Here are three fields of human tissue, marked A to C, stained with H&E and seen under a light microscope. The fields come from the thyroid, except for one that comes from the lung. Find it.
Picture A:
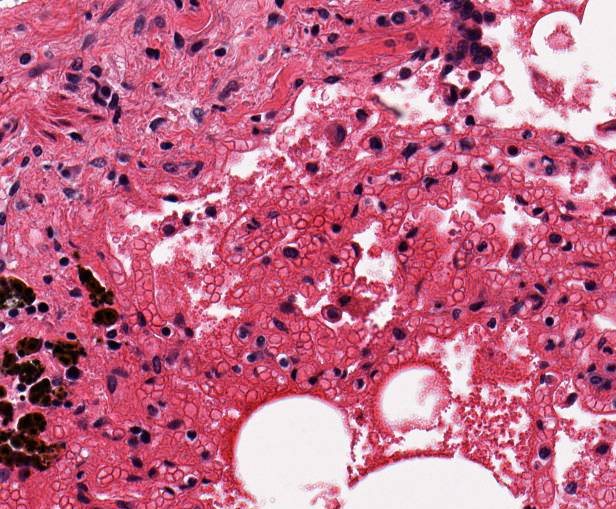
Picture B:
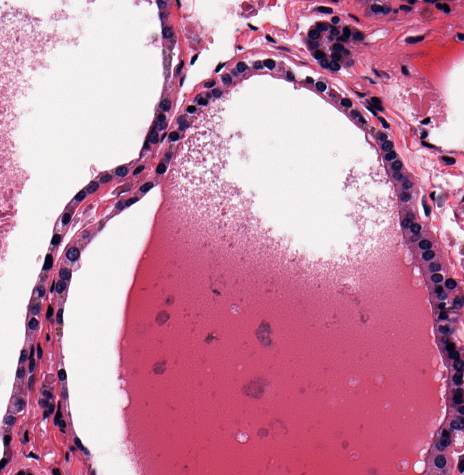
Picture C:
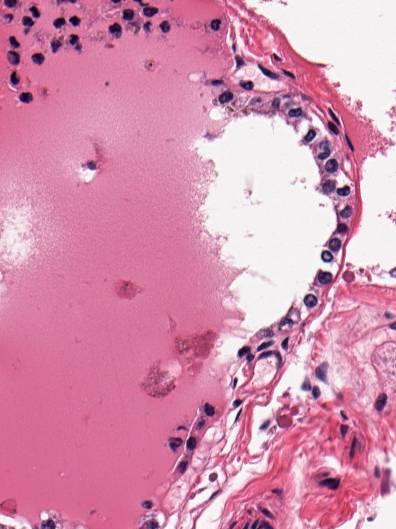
A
